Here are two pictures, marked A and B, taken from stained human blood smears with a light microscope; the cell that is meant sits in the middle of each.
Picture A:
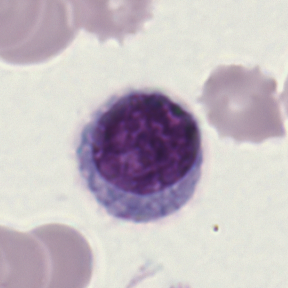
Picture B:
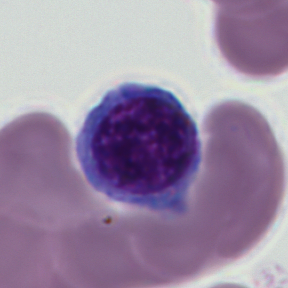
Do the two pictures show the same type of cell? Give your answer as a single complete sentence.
Yes; the cells in both pictures are plasma cells.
